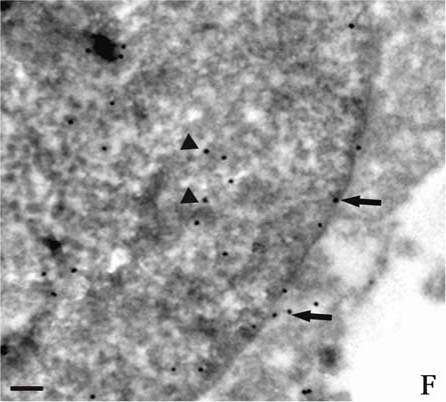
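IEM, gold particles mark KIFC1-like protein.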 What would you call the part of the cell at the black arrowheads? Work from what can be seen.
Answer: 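The arrowheads point to black dots within the granular region bounded by the curved membrane. The answer: nucleus.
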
